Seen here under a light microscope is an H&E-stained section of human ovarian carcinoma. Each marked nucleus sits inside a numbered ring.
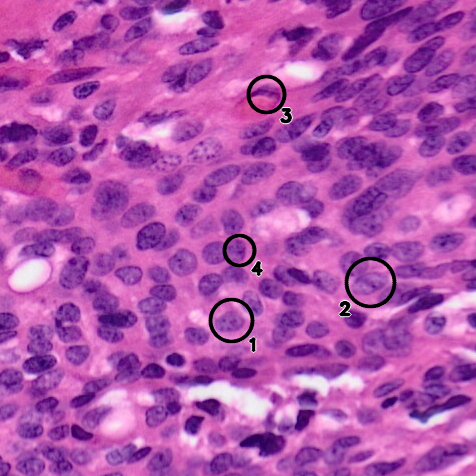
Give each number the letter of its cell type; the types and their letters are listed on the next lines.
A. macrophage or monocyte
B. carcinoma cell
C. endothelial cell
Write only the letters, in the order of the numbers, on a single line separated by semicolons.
B; B; C; B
